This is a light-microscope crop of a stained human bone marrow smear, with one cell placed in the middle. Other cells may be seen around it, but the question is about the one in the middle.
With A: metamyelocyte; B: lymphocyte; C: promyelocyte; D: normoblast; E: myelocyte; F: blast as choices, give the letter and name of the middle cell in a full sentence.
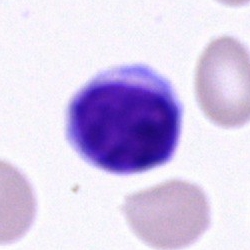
Option B is the right choice, the central cell being a lymphocyte.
